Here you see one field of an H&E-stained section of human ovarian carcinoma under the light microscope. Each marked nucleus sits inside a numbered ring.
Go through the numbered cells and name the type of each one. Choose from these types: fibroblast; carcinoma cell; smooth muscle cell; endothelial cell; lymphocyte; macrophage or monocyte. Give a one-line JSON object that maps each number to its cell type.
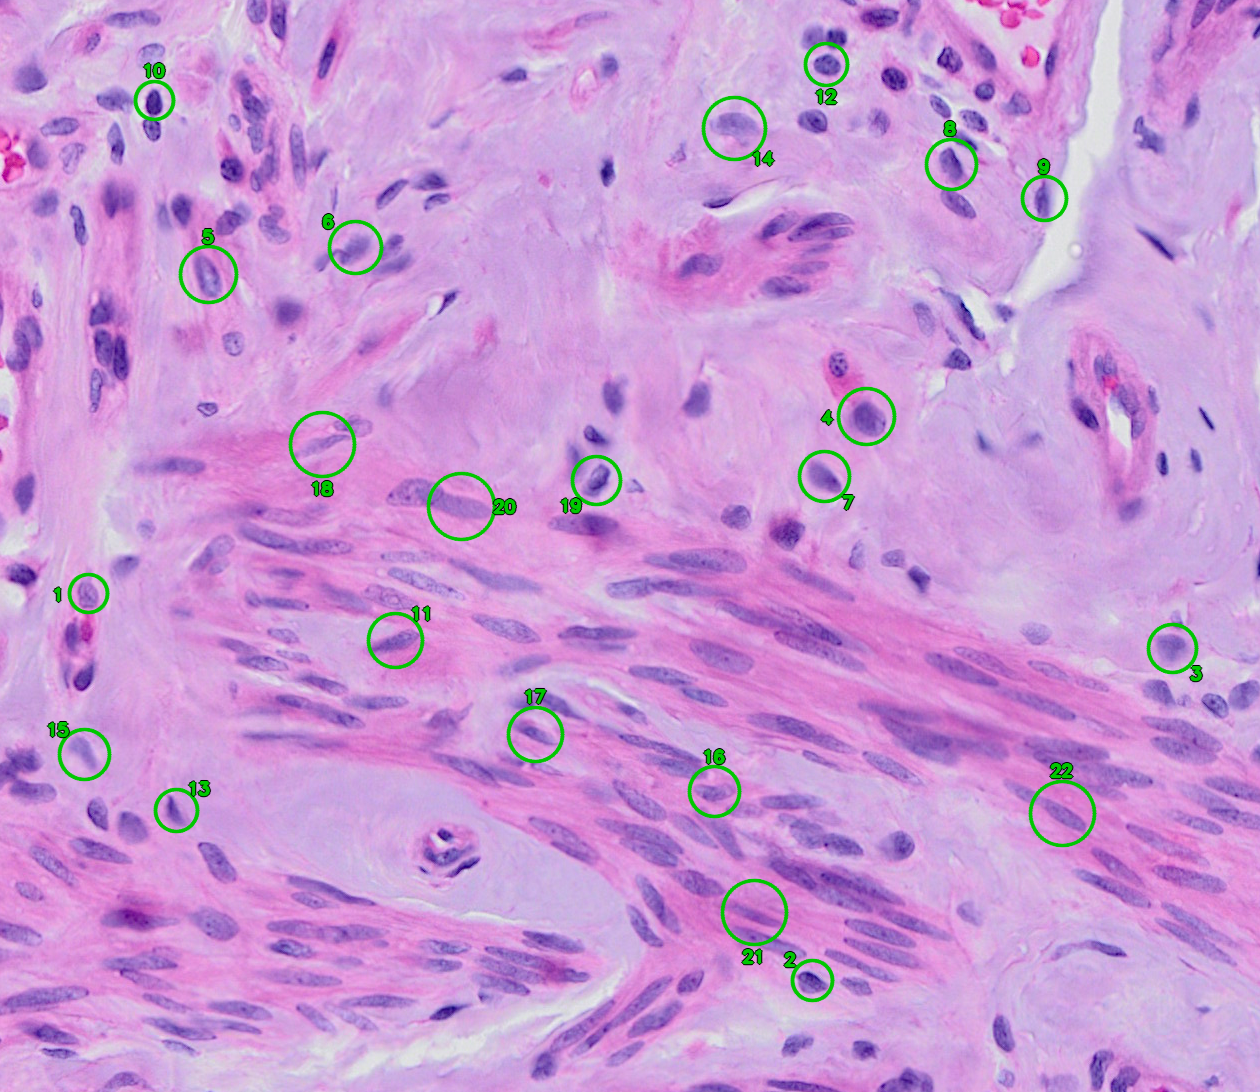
{"1": "endothelial cell", "2": "fibroblast", "3": "fibroblast", "4": "fibroblast", "5": "endothelial cell", "6": "fibroblast", "7": "fibroblast", "8": "fibroblast", "9": "fibroblast", "10": "lymphocyte", "11": "smooth muscle cell", "12": "lymphocyte", "13": "fibroblast", "14": "fibroblast", "15": "fibroblast", "16": "smooth muscle cell", "17": "smooth muscle cell", "18": "smooth muscle cell", "19": "fibroblast", "20": "smooth muscle cell", "21": "smooth muscle cell", "22": "smooth muscle cell"}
